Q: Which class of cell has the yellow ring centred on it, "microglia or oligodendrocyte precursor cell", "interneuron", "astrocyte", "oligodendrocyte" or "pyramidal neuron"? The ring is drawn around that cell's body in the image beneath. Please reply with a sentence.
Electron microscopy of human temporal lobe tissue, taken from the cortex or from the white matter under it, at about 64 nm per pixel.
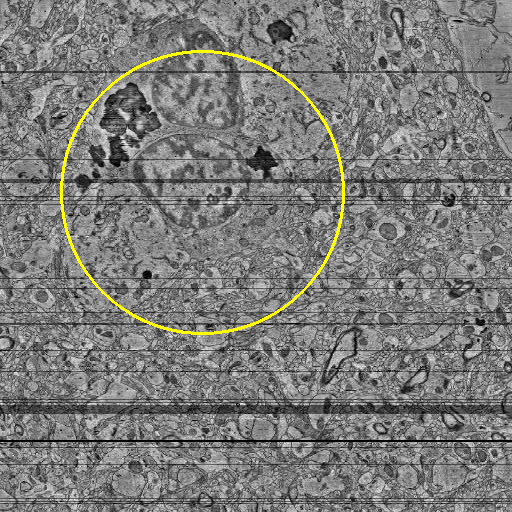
It is centred on an oligodendrocyte.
